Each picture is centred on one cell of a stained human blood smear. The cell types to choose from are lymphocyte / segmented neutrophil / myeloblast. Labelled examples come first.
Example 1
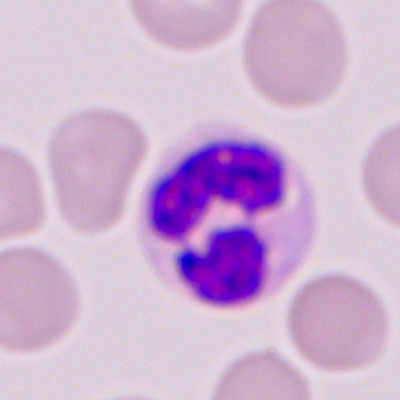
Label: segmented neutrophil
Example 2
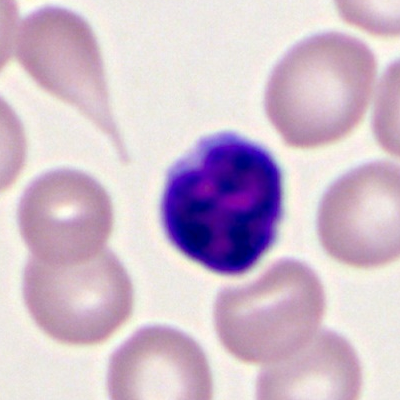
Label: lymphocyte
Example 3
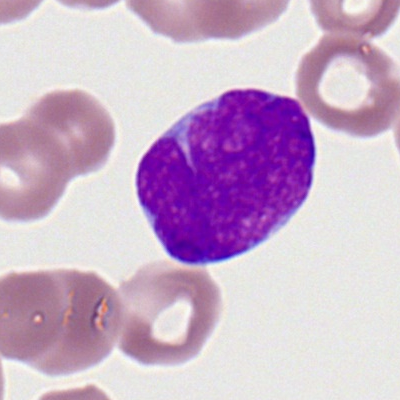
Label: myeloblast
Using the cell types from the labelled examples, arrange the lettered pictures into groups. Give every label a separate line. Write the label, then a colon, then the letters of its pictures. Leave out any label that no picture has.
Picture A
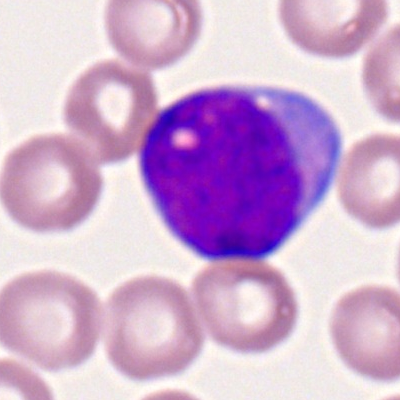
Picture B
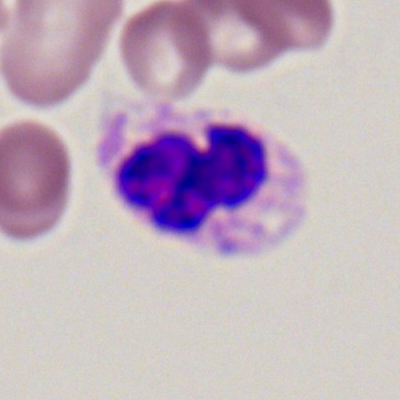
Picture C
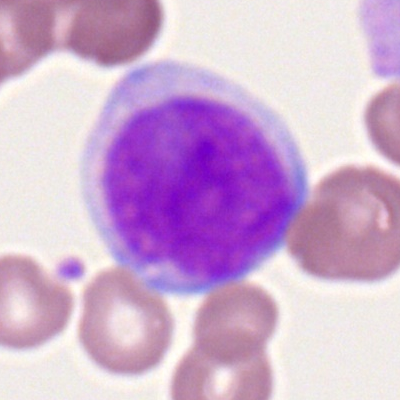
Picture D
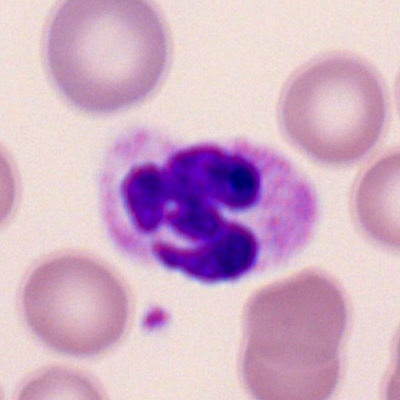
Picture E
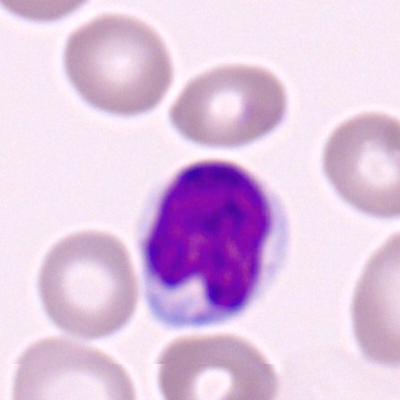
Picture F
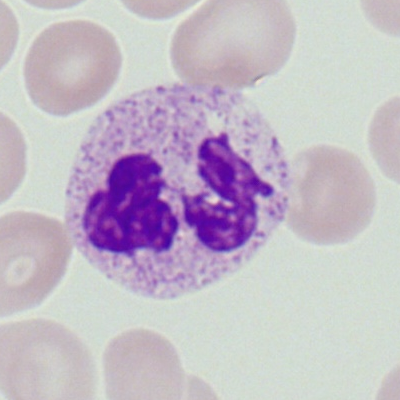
lymphocyte: E
segmented neutrophil: B, D, F
myeloblast: A, C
